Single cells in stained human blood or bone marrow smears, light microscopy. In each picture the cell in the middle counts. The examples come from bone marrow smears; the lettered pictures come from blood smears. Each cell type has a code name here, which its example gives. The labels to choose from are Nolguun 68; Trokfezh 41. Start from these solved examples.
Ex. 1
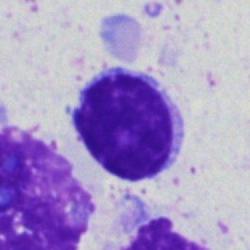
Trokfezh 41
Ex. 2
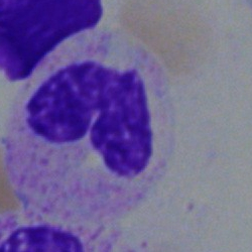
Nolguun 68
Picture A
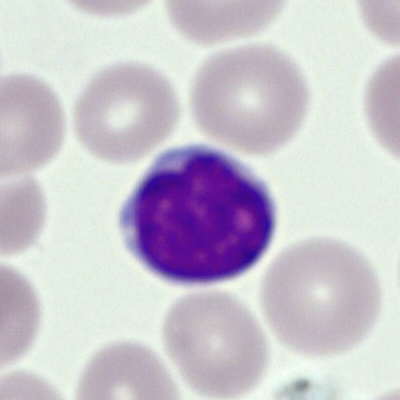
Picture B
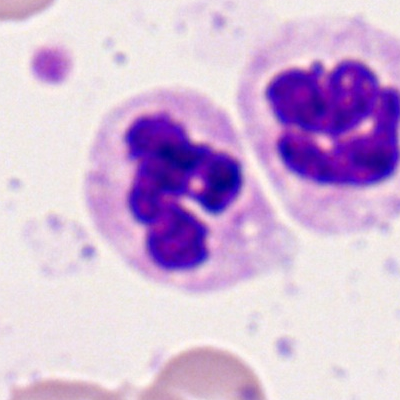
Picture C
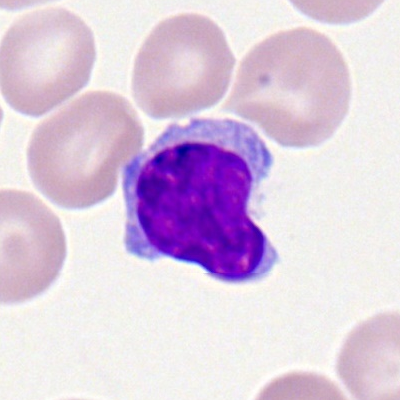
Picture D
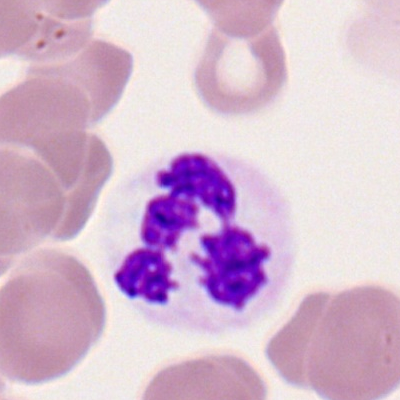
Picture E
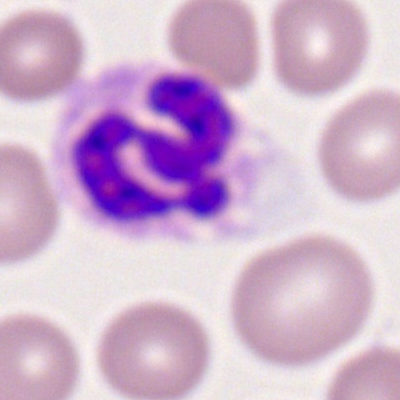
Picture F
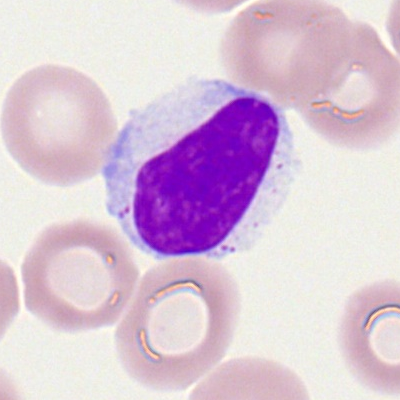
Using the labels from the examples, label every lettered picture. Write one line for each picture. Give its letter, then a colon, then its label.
A: Trokfezh 41
B: Nolguun 68
C: Trokfezh 41
D: Nolguun 68
E: Nolguun 68
F: Trokfezh 41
